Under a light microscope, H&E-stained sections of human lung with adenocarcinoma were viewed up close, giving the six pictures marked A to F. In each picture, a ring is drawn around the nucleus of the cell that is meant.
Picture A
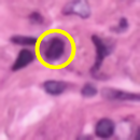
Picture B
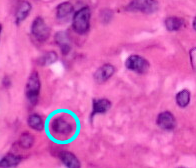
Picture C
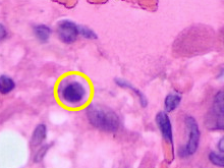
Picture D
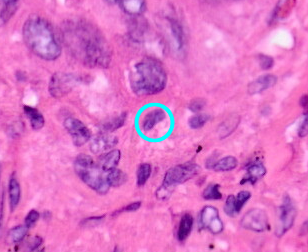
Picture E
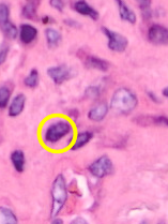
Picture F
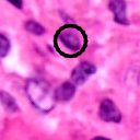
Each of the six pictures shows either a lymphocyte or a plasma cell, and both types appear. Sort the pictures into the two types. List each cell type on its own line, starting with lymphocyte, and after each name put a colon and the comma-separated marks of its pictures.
lymphocyte: C, D
plasma cell: A, B, E, F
